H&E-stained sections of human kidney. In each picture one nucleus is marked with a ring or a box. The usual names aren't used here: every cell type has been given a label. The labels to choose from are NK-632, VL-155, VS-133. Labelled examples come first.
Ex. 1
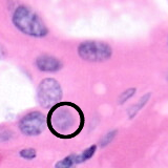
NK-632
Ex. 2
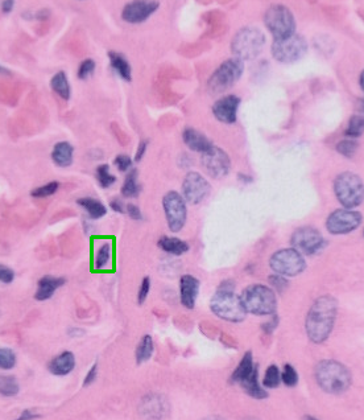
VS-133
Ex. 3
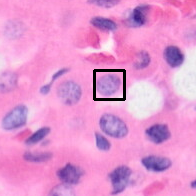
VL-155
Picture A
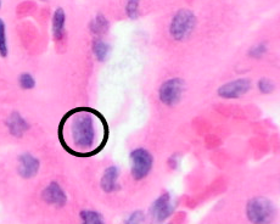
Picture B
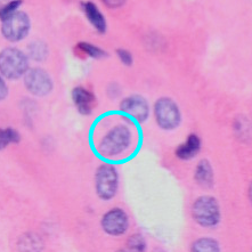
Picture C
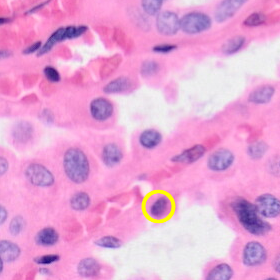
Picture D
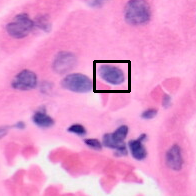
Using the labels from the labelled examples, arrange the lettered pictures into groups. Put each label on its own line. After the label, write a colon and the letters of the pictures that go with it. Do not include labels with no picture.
NK-632: B
VL-155: A, C
VS-133: D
